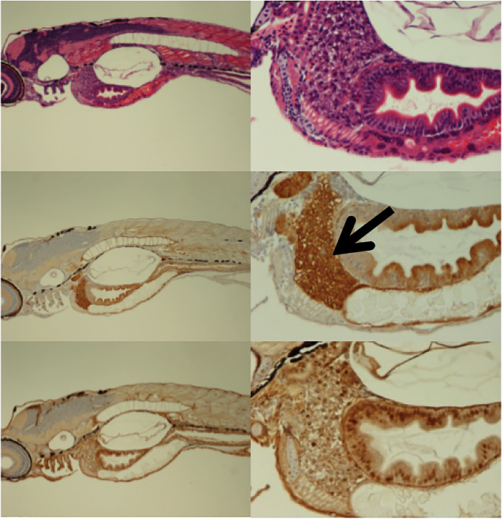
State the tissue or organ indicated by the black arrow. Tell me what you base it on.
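The black arrow points to a compact, strongly brown-stained organ mass in the high-magnification image of the trunk. The mass lies ventrally, just in front of and beside the folded gut tube. The mass is made of closely packed cells with small round nuclei.
Answer: liver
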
